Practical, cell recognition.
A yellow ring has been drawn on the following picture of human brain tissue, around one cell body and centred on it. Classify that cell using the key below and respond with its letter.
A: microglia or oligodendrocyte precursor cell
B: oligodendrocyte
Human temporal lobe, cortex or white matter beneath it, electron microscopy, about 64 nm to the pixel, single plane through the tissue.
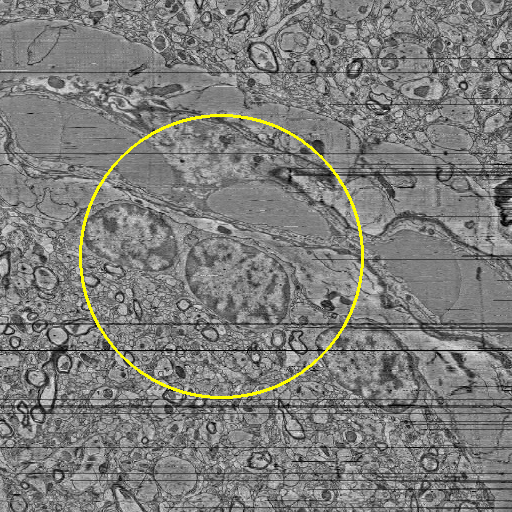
B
